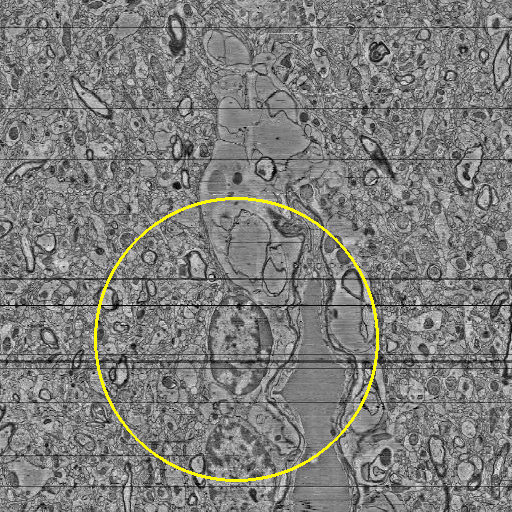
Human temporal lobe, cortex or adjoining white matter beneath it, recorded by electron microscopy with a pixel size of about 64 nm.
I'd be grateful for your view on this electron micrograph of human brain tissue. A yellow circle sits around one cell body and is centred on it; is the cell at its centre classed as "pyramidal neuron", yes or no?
no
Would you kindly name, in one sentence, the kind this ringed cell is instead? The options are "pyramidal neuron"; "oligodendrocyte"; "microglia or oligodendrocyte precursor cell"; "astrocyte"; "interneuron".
The cell circled by the yellow ring is a microglial cell or oligodendrocyte precursor cell.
